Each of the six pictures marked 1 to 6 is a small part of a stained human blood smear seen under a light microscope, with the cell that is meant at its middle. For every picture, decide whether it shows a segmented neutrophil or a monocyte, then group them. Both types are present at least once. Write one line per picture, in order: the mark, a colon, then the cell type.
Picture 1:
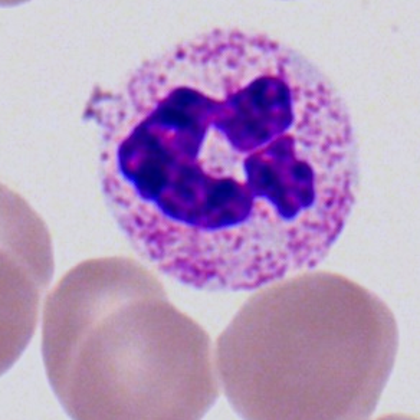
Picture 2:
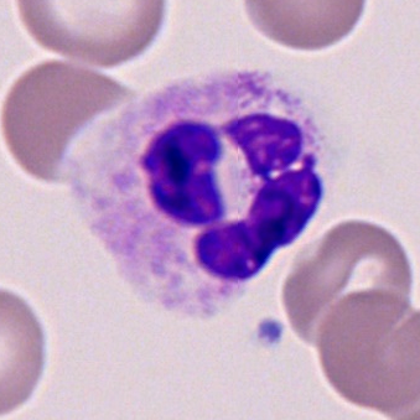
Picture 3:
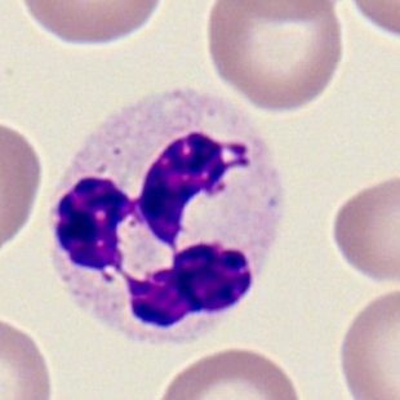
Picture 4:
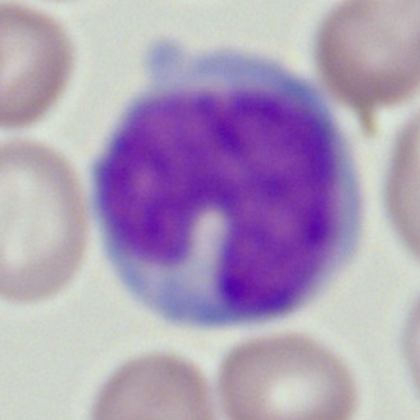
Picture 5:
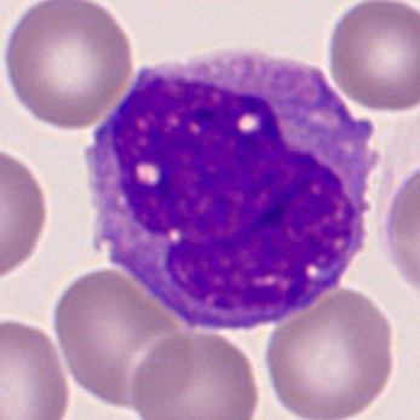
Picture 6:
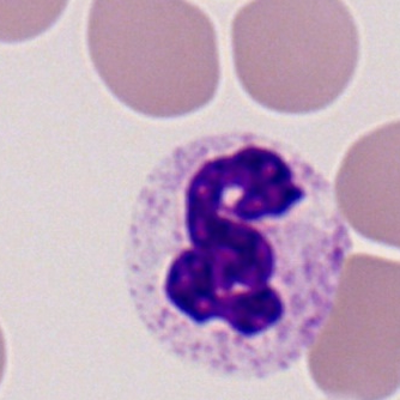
1: segmented neutrophil
2: segmented neutrophil
3: segmented neutrophil
4: monocyte
5: monocyte
6: segmented neutrophil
